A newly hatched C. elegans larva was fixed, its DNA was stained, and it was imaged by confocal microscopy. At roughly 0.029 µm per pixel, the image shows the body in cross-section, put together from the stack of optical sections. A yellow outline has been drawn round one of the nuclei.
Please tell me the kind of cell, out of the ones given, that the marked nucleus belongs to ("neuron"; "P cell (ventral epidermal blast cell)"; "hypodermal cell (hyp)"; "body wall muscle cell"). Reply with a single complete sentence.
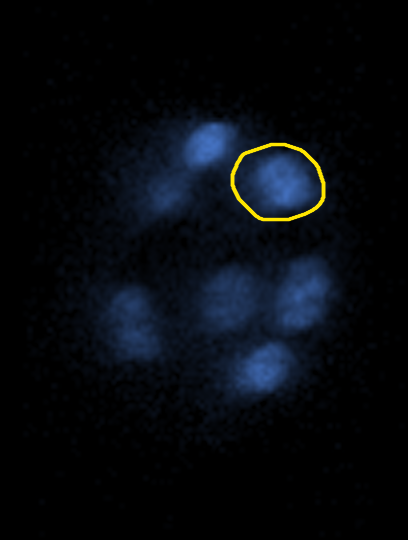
It belongs to a P cell (ventral epidermal blast cell).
